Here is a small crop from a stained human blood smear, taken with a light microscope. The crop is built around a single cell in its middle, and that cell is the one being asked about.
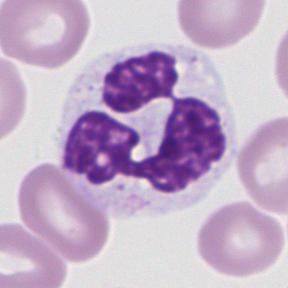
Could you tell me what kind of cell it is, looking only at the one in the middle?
segmented neutrophil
